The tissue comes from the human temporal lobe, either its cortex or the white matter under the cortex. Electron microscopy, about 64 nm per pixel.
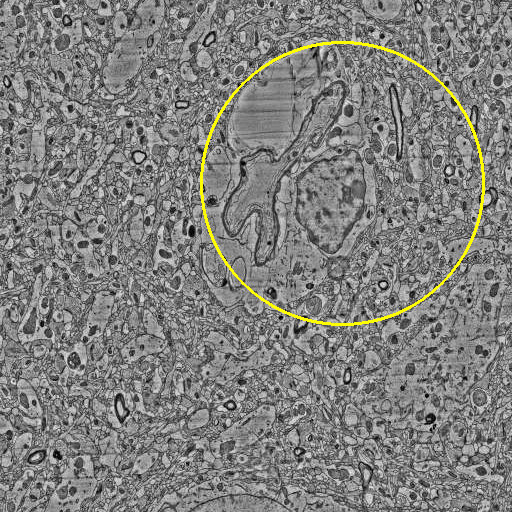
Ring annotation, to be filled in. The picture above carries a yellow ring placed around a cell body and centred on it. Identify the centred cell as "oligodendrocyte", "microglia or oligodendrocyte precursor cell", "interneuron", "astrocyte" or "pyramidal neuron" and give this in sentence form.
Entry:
The cell in the middle of the ring is a microglial cell or oligodendrocyte precursor cell.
